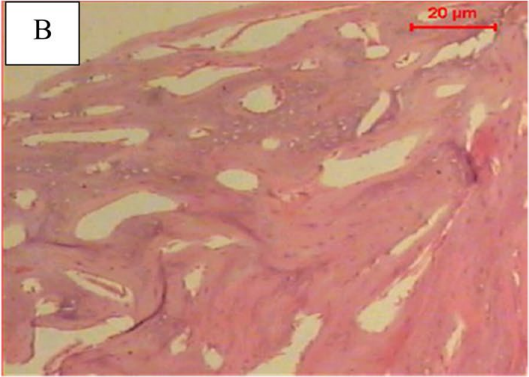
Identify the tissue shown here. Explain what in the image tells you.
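Many elongated empty spaces lie between bands of pink matrix. The matrix has a streaming, irregular fibrous texture with scattered lacunae.
New formed bone.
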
